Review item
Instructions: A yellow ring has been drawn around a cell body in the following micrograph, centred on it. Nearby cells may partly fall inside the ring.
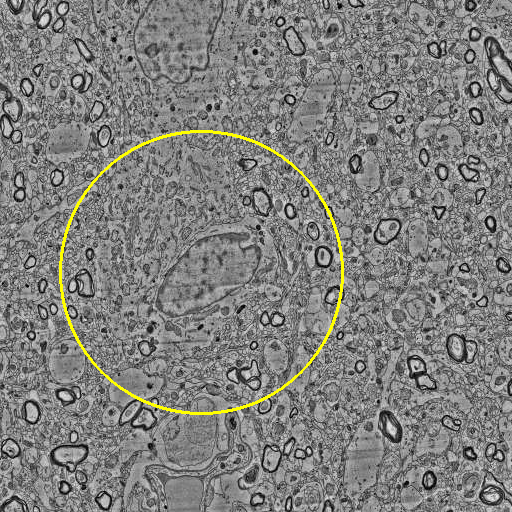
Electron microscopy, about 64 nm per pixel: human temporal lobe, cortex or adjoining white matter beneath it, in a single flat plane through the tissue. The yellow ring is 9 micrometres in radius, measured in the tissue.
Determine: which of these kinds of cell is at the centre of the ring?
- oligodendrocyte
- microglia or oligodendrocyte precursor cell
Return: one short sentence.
The cell body in the middle of the ring is that of a microglial cell or oligodendrocyte precursor cell.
